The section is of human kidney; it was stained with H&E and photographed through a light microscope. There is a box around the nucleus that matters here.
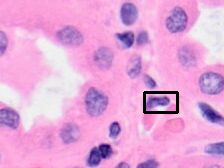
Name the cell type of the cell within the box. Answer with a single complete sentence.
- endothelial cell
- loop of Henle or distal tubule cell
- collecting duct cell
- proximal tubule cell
The cell within the box appears to be an endothelial cell.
